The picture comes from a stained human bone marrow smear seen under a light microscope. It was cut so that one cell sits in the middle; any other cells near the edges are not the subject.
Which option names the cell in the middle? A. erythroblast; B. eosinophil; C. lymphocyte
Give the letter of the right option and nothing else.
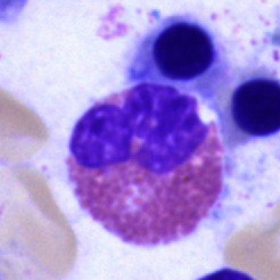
B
